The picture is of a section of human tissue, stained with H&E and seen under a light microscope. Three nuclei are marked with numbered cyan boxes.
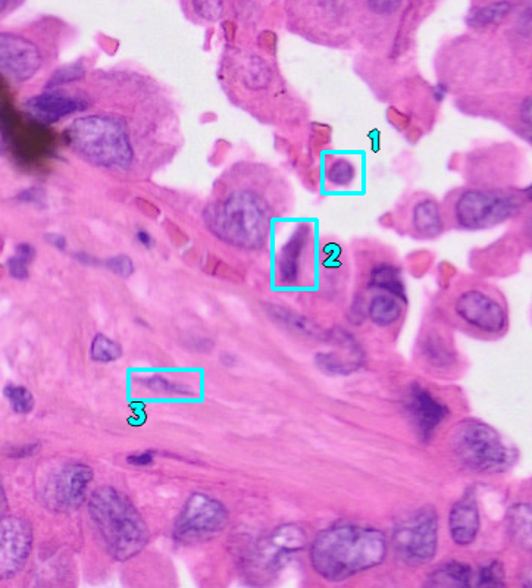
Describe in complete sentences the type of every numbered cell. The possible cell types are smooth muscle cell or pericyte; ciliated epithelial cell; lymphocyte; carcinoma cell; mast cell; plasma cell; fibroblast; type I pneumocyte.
Cell 1 is a lymphocyte. Cell 2 is a carcinoma cell. Cell 3 is a fibroblast.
